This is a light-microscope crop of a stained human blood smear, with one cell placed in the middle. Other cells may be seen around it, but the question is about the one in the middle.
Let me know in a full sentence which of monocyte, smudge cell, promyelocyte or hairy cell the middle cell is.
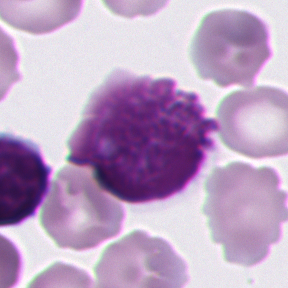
The cell at the central position in this crop is a smudge cell.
